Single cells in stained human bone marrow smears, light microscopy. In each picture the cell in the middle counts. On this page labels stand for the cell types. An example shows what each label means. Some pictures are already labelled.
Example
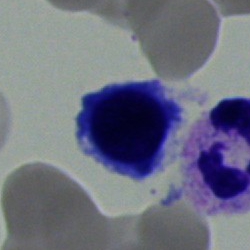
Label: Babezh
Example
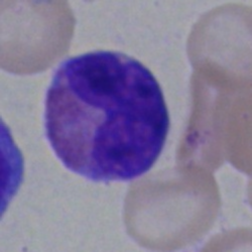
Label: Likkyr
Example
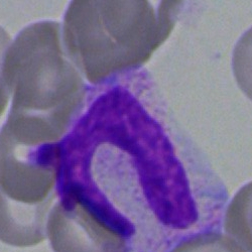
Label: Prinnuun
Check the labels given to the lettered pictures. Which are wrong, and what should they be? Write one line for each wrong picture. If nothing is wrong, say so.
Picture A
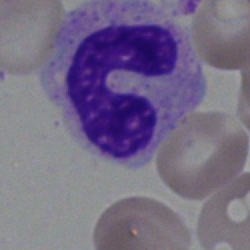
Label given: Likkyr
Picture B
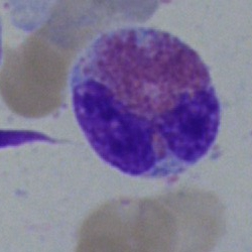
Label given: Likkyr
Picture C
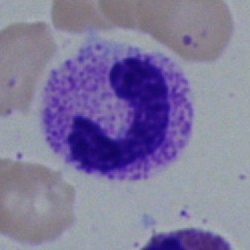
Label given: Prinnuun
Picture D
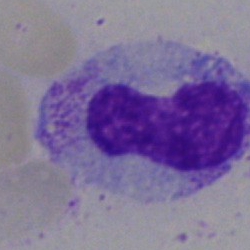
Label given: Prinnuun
A: not Likkyr but Prinnuun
